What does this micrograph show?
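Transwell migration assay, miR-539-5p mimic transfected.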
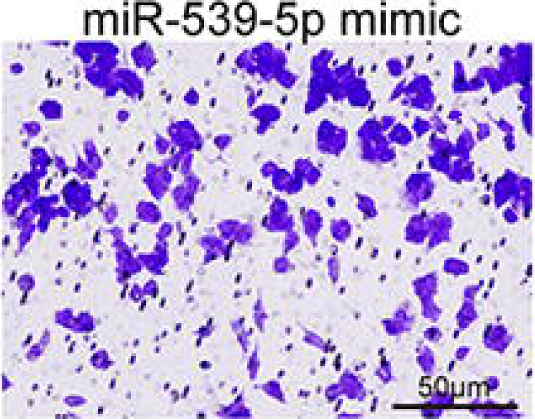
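Many cells lie scattered and in loose clusters over the membrane, most of them irregular and polygonal, some spread out with short broad extensions. The cytoplasm stains a fairly even violet, with the darker nucleus region faintly visible in some cells. The cells are unevenly spread, crowding in the upper part of the field and thinner elsewhere.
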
